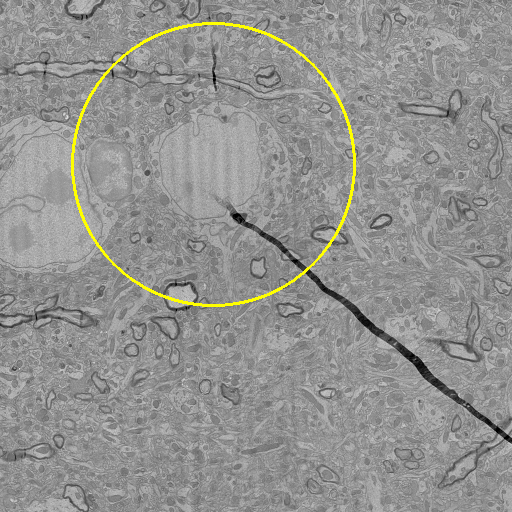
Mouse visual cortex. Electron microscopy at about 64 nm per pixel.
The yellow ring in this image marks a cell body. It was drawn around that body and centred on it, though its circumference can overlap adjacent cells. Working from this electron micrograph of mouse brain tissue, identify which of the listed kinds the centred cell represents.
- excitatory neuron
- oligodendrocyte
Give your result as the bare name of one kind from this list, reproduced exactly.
excitatory neuron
